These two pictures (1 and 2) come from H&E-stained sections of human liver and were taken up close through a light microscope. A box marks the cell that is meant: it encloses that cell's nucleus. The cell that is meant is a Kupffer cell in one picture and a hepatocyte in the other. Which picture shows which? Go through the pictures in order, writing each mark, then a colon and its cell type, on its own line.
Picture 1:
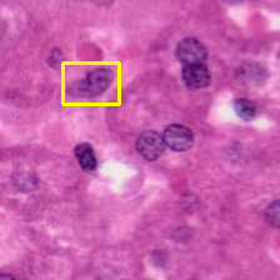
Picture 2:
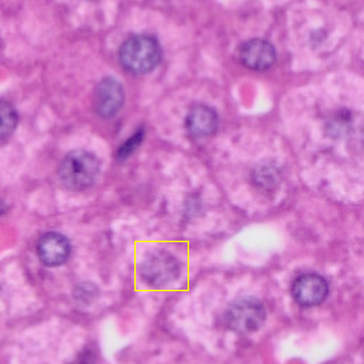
1: Kupffer cell
2: hepatocyte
